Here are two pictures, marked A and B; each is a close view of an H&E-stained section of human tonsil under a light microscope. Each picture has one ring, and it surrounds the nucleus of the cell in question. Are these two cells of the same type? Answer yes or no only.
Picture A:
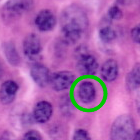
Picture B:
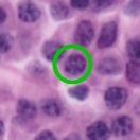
yes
